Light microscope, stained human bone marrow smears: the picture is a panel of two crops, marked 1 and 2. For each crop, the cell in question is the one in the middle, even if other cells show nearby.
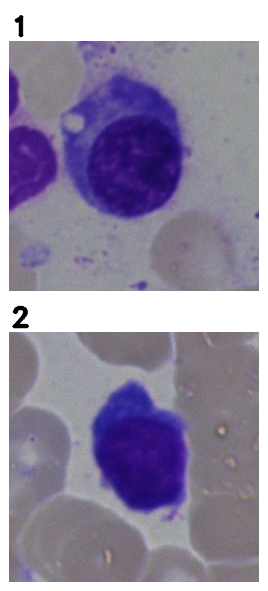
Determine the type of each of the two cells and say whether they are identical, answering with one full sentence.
Yes, in short, both crops show plasma cells.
